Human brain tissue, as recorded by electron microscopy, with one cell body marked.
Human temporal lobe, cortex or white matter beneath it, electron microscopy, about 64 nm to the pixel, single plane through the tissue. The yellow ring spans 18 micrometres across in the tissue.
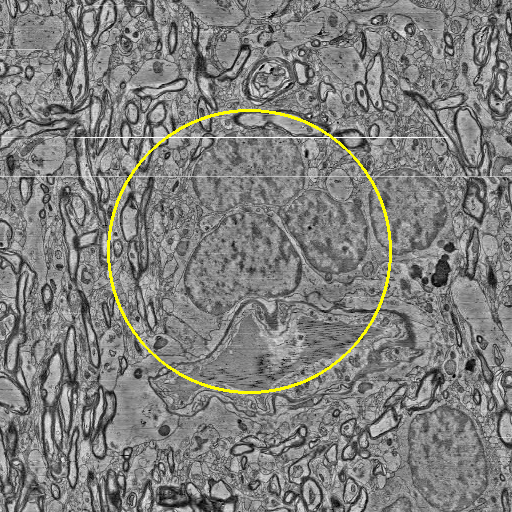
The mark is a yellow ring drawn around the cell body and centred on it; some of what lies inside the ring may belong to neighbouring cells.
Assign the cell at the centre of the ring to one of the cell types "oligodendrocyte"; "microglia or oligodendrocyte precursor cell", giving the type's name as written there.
microglia or oligodendrocyte precursor cell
